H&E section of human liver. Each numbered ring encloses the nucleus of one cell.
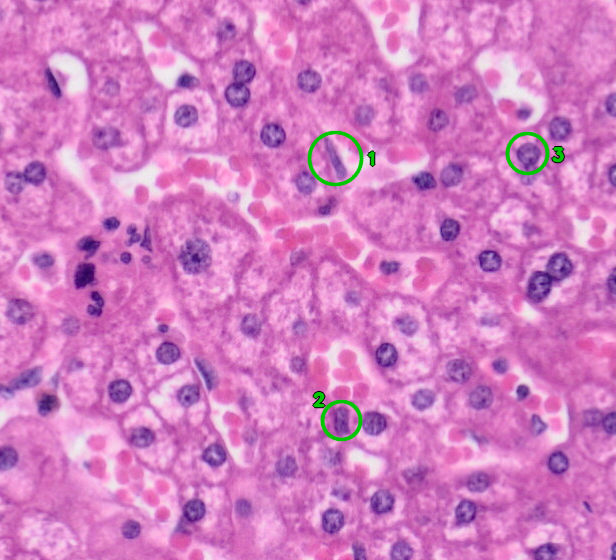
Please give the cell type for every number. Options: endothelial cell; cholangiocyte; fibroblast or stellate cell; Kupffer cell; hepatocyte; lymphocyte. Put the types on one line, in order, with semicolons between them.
Kupffer cell; fibroblast or stellate cell; hepatocyte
